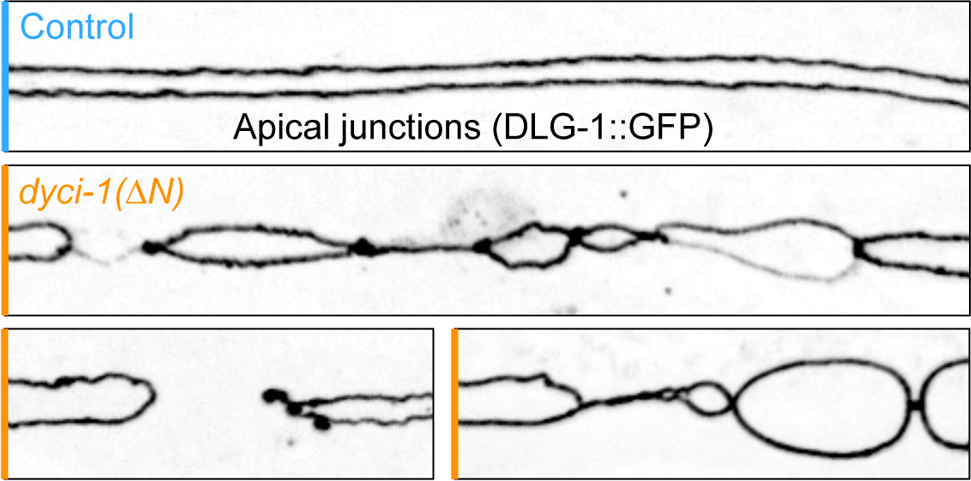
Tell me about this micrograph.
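In the top image the two junction lines run parallel and continuous along the whole length, close together. In the lower images the band is irregular: the lines separate into rounded loops of varying size, pinch together into dark knots, and in places stop altogether, leaving a gap before the band resumes. So the seam here is broken into separate pieces rather than forming one continuous strip.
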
